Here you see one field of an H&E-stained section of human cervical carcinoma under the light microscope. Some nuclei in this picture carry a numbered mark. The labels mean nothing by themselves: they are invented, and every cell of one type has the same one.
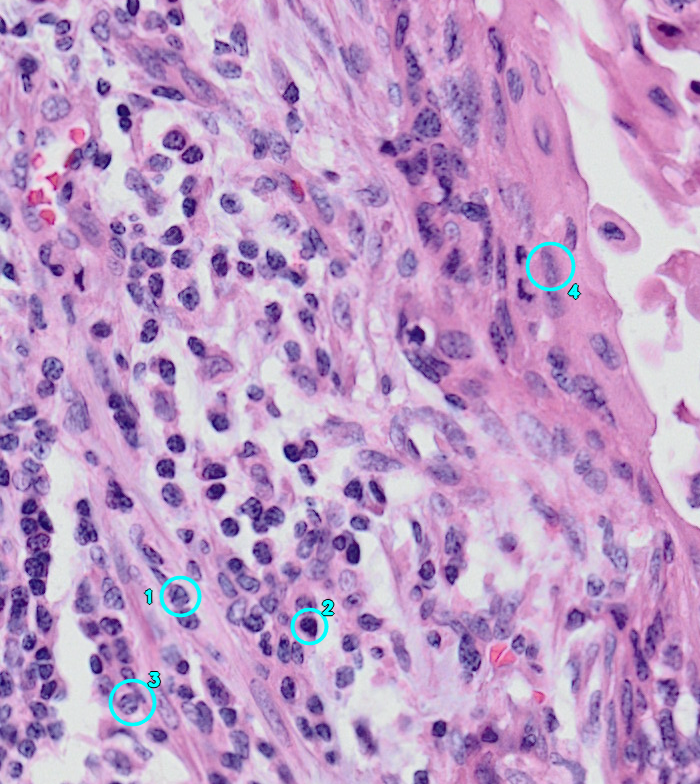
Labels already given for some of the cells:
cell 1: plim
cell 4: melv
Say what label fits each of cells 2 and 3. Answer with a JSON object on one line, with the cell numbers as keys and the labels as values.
{"2": "plim", "3": "plim"}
